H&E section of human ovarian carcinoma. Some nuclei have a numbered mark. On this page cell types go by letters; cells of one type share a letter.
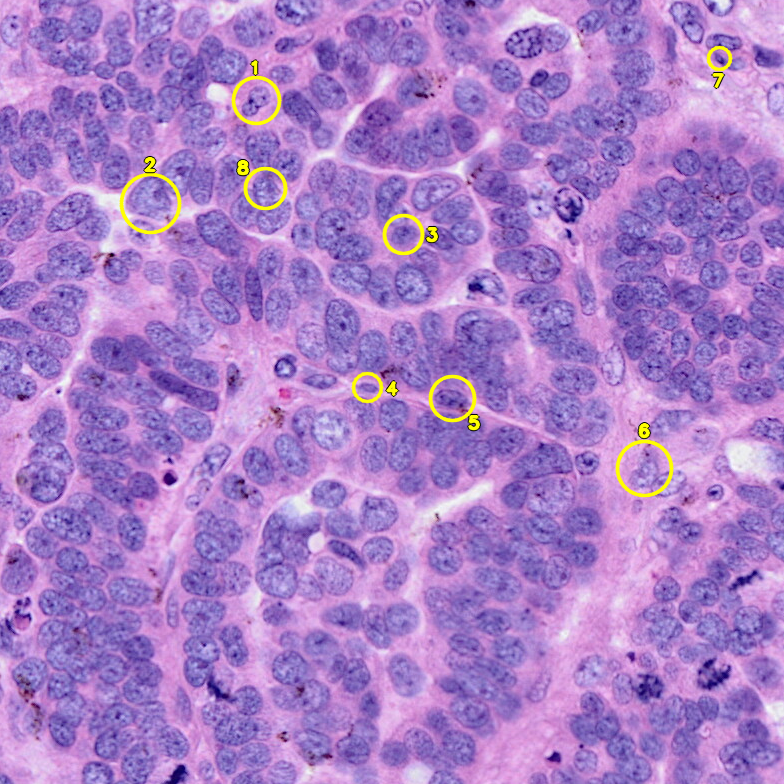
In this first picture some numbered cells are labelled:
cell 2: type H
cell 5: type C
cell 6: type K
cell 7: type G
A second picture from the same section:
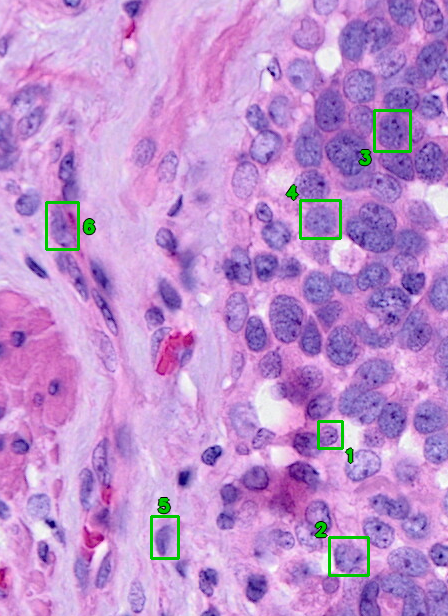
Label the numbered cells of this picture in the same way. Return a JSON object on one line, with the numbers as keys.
{"1": "type C", "2": "type C", "3": "type H", "4": "type H", "5": "type K", "6": "type G"}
